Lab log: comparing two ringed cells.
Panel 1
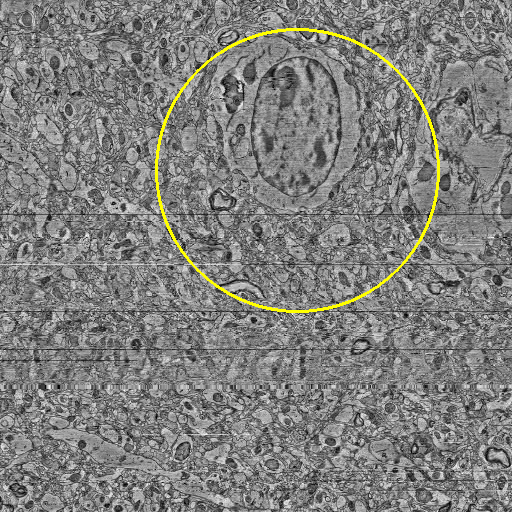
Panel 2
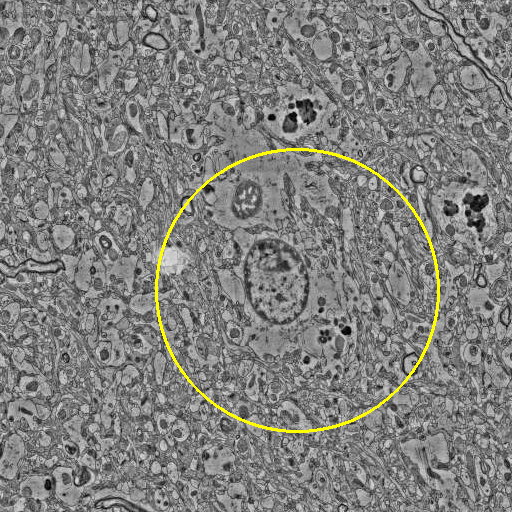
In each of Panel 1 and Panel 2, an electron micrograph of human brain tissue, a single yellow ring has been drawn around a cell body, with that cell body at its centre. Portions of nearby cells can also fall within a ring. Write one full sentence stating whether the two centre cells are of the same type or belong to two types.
The cells at the ring centres in Panel 1 and Panel 2 are of the same type.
